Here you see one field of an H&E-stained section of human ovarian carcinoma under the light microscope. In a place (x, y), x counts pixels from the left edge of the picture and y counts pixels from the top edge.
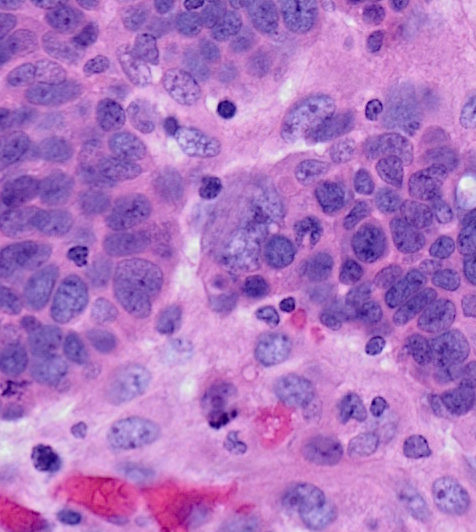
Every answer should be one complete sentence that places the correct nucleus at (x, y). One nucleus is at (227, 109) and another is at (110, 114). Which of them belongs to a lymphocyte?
Of the two candidate nuclei, the one at (227, 109) is that of a lymphocyte.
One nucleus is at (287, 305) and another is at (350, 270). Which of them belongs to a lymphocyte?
The nucleus located at (287, 305) is the one held within a lymphocyte.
